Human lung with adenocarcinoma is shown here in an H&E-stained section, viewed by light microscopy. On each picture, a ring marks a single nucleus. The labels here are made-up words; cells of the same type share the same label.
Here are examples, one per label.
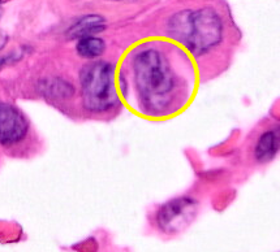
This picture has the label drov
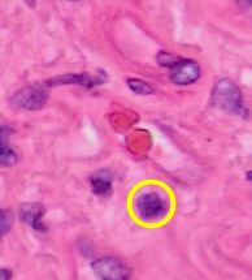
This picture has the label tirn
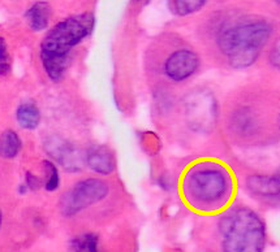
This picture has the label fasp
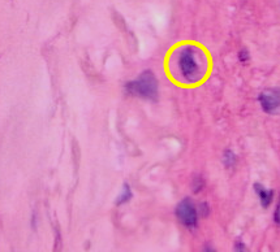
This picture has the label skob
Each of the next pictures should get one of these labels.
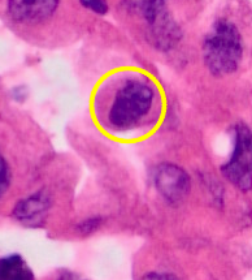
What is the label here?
drov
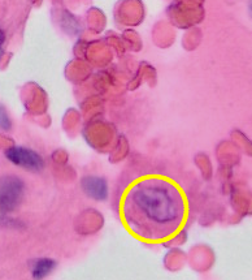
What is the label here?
fasp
